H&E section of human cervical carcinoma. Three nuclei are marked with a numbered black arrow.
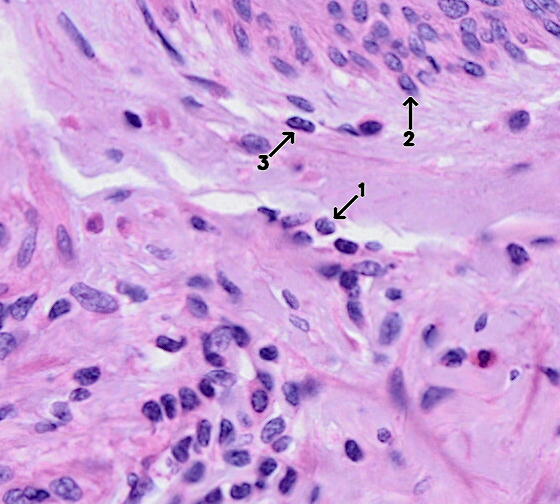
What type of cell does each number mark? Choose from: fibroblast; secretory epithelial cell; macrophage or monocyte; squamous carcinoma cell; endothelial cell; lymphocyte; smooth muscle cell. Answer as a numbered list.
1. lymphocyte
2. smooth muscle cell
3. lymphocyte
